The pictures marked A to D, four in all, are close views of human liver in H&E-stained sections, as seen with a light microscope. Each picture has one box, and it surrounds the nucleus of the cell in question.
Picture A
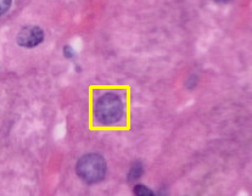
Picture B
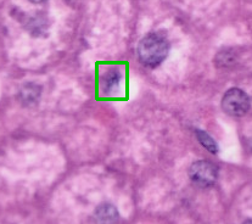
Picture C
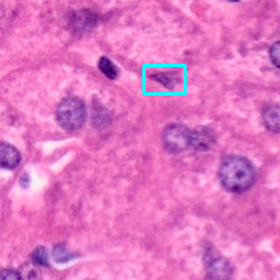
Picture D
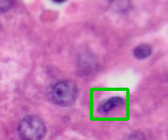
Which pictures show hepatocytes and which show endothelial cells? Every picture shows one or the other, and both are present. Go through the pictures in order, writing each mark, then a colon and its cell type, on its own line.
A: hepatocyte
B: endothelial cell
C: endothelial cell
D: endothelial cell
